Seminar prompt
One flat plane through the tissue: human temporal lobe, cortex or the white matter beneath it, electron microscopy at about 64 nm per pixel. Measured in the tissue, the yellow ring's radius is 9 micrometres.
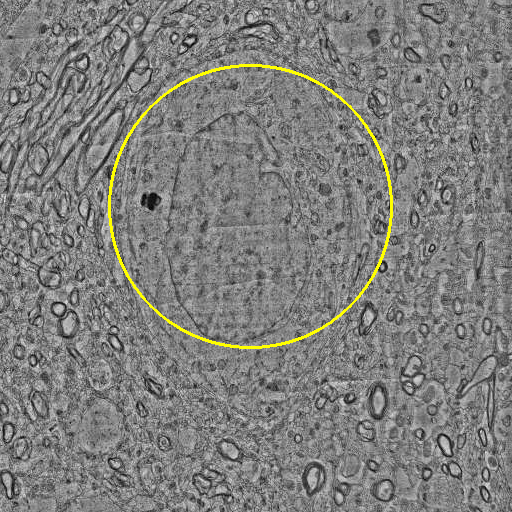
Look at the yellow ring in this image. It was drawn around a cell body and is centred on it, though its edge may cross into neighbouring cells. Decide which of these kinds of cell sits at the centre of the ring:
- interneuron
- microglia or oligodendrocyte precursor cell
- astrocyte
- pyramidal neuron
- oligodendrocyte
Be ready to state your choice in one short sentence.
The kind of cell at the ring's centre is a pyramidal neuron.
